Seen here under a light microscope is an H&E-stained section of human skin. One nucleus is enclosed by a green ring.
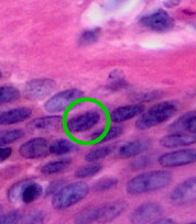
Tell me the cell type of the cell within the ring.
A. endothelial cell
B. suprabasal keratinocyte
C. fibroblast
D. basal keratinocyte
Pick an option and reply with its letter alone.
D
